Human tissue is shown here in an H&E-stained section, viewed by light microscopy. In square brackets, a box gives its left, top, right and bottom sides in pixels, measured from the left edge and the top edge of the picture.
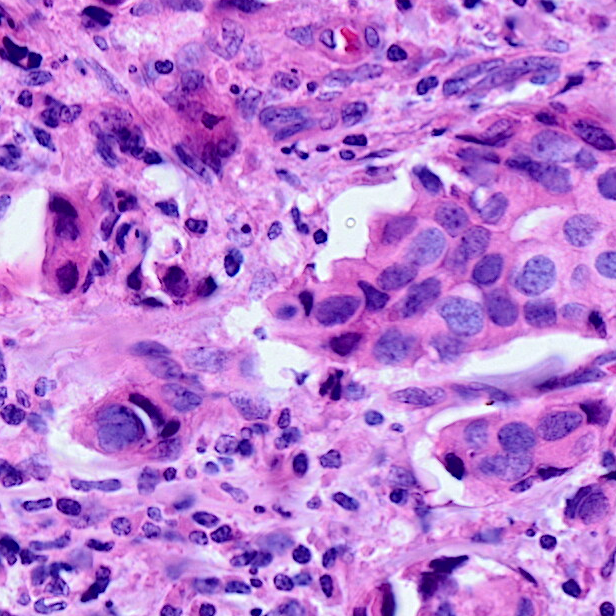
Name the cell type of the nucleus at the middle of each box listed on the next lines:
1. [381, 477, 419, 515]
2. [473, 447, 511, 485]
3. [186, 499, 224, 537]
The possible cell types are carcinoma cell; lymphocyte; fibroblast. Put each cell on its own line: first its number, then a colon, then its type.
1: lymphocyte
2: carcinoma cell
3: lymphocyte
